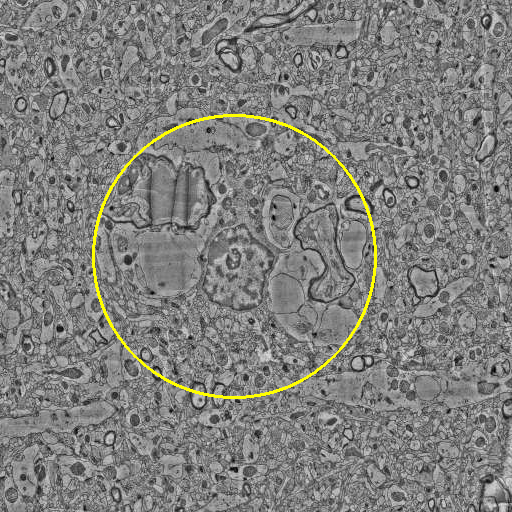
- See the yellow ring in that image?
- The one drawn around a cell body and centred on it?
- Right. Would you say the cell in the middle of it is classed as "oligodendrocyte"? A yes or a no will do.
yes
